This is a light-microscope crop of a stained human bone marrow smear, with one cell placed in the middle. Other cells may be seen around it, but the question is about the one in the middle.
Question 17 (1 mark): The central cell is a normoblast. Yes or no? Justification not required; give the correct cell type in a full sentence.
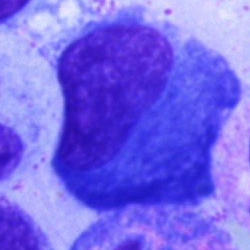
No, it is not a normoblast that sits at the centre but a plasma cell.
